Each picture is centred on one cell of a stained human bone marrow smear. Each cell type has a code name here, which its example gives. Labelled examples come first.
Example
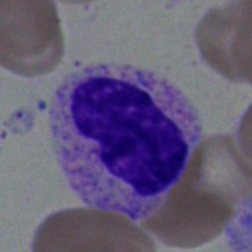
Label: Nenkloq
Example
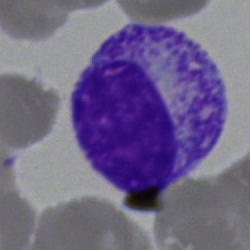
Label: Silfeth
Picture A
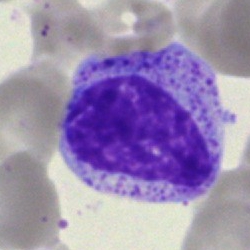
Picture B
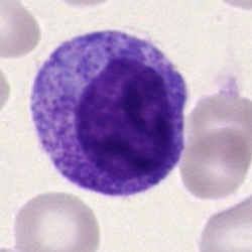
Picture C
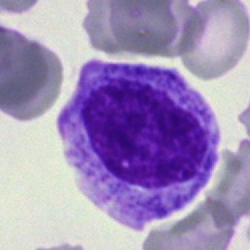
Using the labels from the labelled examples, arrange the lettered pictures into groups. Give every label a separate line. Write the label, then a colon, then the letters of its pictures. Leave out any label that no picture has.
Silfeth: A, B, C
